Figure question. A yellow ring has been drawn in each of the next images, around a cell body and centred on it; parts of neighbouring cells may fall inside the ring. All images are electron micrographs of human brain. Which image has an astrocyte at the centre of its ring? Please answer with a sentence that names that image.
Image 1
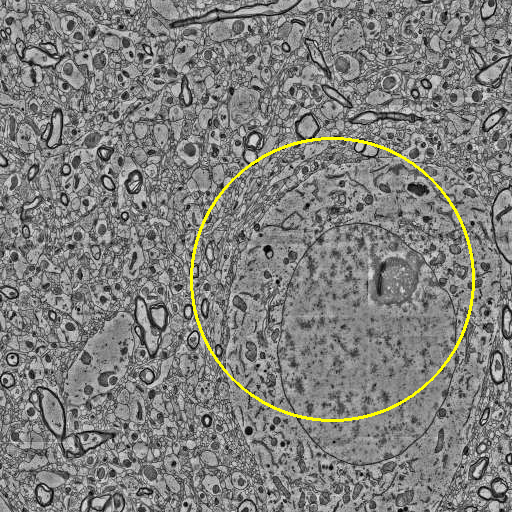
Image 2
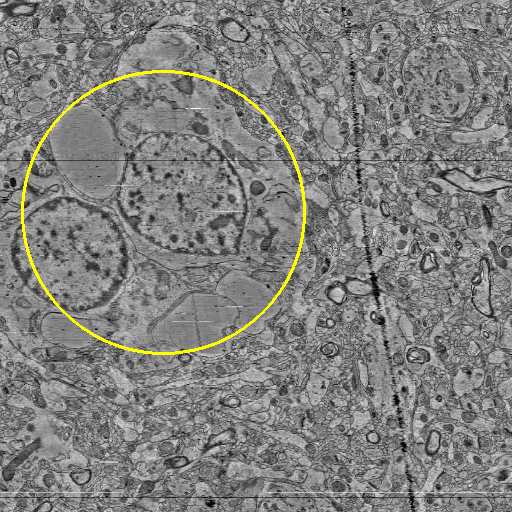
The cell at the centre of the ring in Image 2 is of that kind.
